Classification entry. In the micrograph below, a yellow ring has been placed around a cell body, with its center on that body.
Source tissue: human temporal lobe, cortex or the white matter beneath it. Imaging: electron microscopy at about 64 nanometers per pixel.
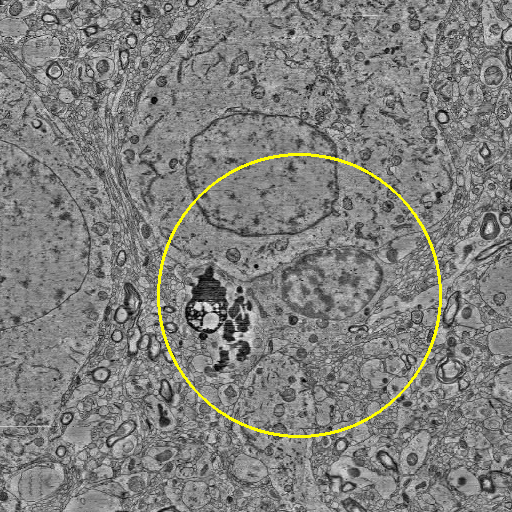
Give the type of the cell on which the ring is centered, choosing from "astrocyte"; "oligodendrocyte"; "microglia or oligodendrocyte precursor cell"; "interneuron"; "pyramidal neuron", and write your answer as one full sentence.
The cell body at the center of the yellow ring belongs to an oligodendrocyte.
